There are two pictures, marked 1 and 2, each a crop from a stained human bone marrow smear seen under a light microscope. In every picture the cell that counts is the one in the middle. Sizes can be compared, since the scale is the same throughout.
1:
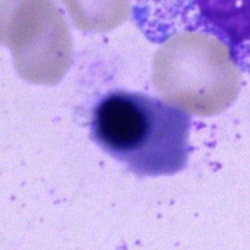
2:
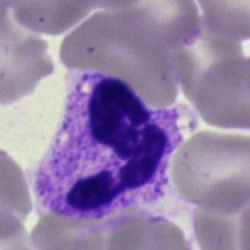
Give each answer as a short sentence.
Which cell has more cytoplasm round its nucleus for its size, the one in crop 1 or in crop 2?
It is the cell in crop 1 that is filled less by its nucleus.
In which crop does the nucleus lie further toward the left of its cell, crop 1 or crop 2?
In crop 1 the nucleus is shifted more toward the left.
